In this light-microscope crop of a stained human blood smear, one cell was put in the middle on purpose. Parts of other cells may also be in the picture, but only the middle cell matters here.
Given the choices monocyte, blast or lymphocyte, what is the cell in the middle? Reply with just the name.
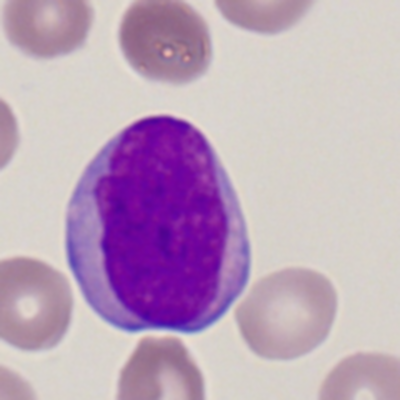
blast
